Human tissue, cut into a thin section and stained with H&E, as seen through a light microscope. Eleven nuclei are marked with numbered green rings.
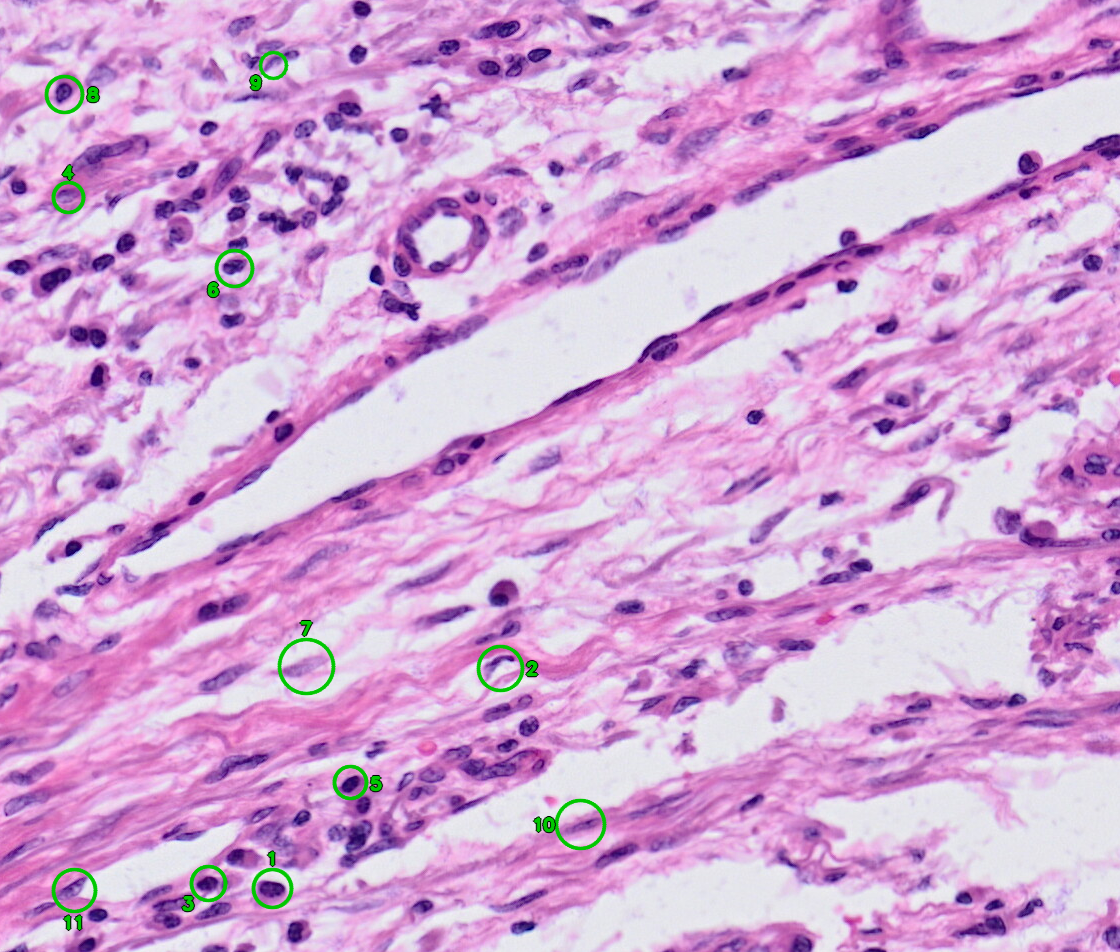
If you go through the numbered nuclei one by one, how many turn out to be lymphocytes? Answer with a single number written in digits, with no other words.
1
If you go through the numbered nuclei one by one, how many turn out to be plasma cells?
4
